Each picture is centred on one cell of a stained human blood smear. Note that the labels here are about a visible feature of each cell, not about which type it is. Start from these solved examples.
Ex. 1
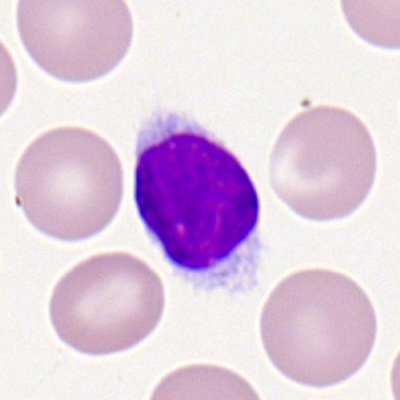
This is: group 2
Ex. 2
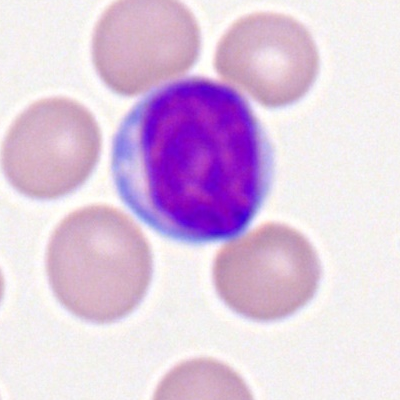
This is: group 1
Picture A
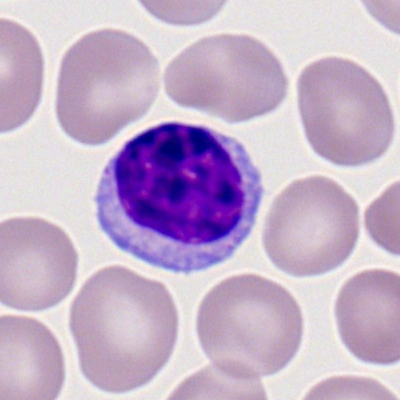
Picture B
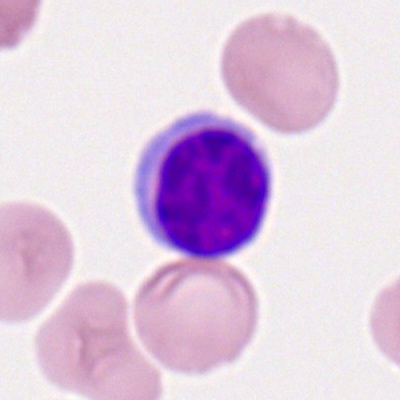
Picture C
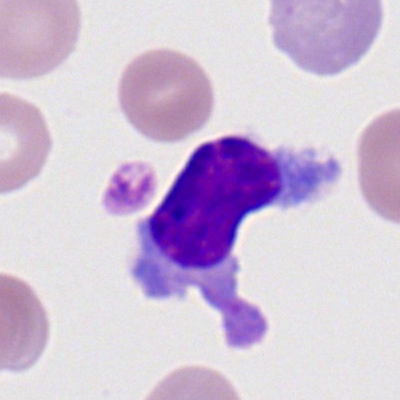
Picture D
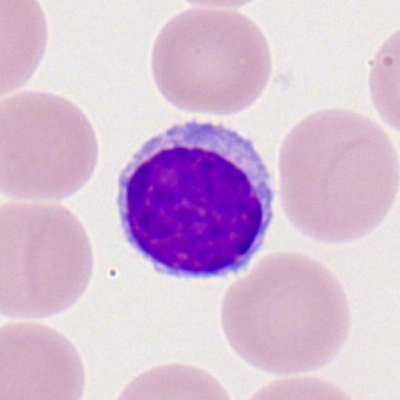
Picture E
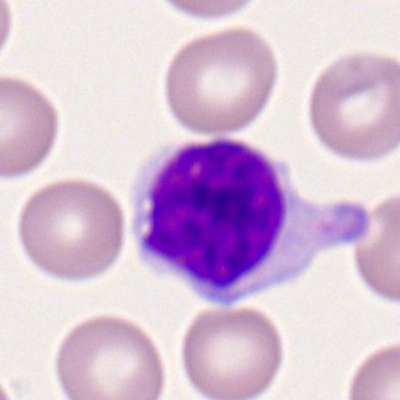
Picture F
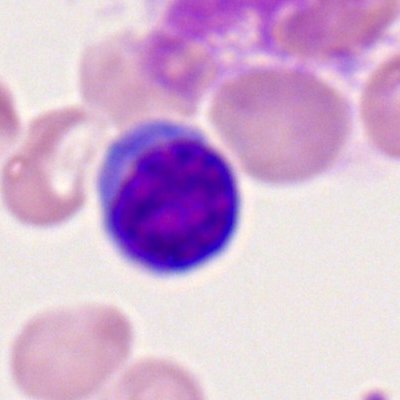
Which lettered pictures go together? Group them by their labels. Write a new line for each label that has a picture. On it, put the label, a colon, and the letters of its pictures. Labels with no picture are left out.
group 2: C, D, E
group 1: A, B, F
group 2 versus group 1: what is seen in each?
group 2, ragged outline or projections; group 1, smooth outline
